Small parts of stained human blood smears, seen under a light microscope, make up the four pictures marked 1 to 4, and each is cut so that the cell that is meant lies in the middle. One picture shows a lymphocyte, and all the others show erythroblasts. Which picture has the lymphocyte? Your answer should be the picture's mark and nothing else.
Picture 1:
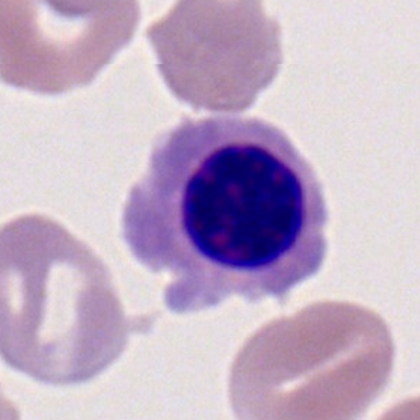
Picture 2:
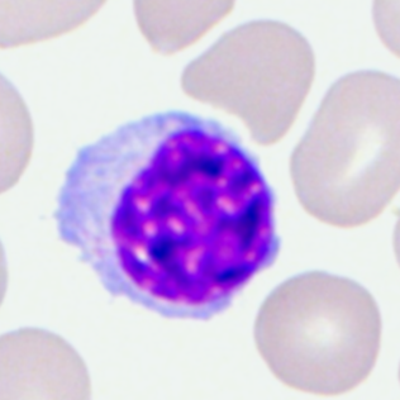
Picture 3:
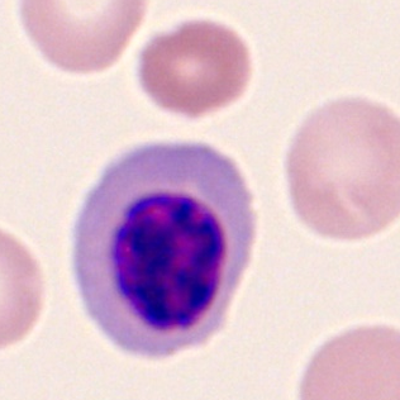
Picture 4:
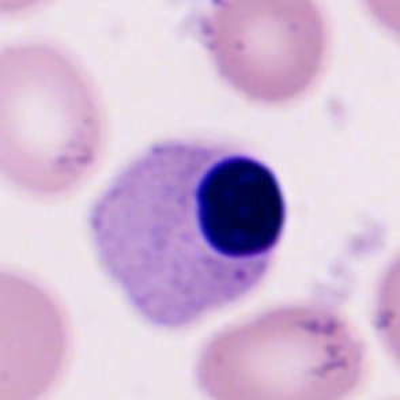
2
